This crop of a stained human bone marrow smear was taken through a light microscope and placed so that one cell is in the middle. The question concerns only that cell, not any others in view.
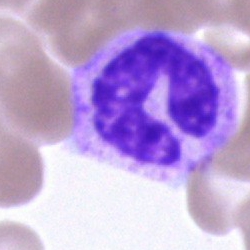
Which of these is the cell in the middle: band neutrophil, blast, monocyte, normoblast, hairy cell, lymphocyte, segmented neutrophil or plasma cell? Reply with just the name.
band neutrophil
